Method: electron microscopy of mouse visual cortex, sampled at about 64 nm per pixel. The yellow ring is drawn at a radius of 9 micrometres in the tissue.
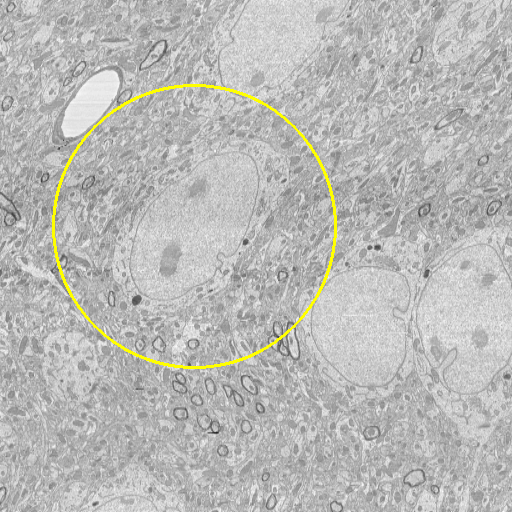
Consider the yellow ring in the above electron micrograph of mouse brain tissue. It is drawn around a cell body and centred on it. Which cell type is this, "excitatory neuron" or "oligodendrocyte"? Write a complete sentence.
The cell in question is an excitatory neuron.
